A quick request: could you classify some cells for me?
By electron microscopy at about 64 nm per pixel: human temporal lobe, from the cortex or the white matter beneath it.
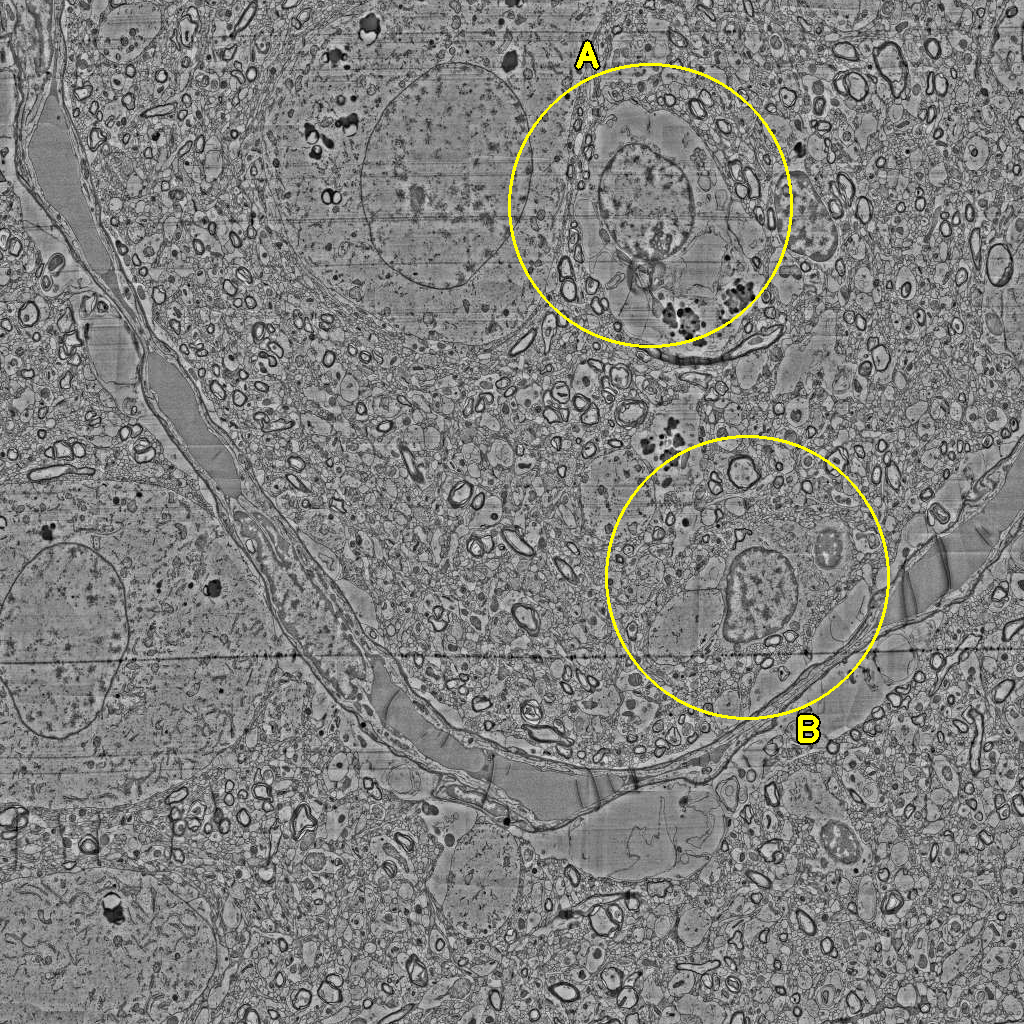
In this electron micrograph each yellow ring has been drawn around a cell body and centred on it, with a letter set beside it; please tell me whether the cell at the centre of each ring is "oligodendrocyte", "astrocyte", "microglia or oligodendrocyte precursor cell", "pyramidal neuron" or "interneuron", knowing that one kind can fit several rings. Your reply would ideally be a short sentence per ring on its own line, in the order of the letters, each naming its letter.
Ring A has an astrocyte at its centre.
Ring B has an oligodendrocyte at its centre.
